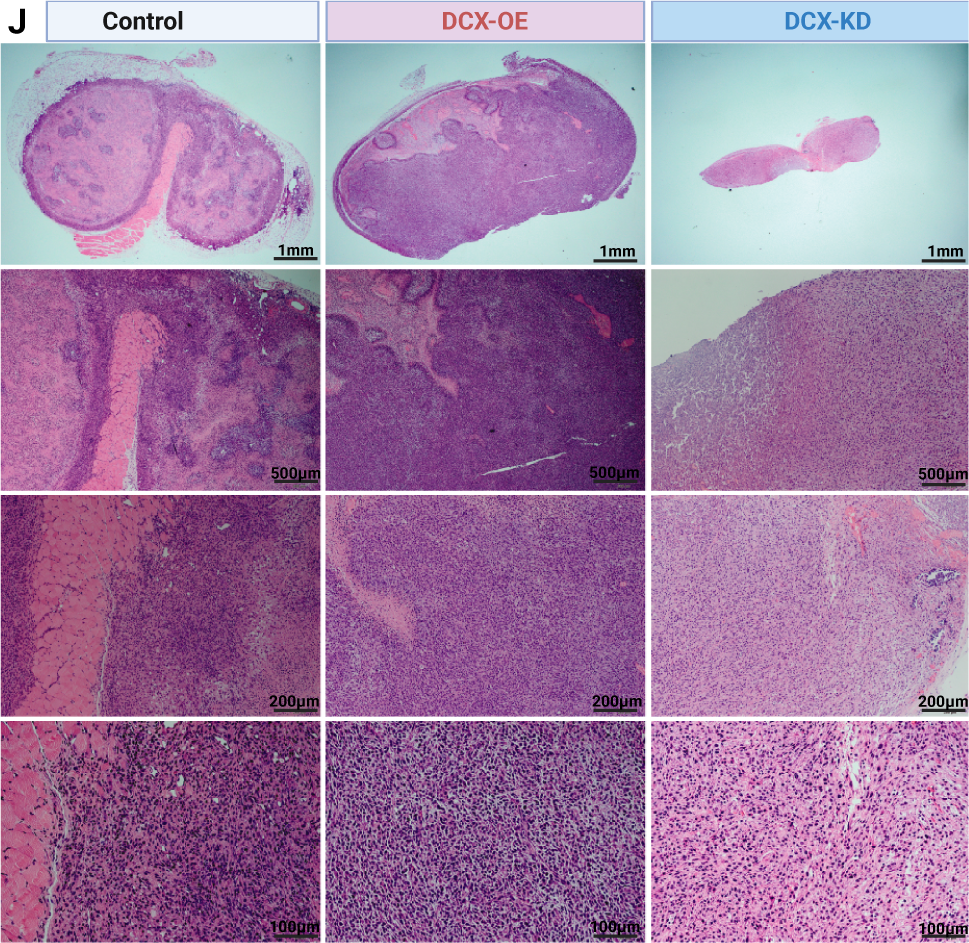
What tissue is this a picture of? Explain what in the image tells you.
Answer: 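Large nodular masses of densely packed purple-staining cells. Bands of pink striated skeletal muscle fibers at the edge of a mass. On this evidence: subcutaneous tumors.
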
